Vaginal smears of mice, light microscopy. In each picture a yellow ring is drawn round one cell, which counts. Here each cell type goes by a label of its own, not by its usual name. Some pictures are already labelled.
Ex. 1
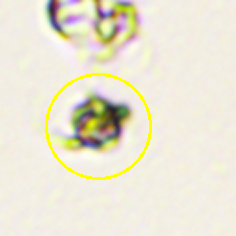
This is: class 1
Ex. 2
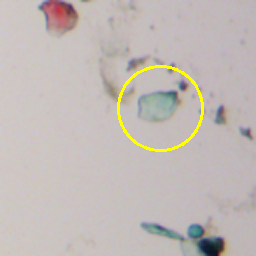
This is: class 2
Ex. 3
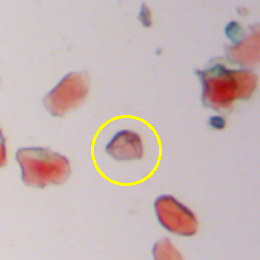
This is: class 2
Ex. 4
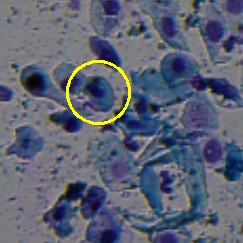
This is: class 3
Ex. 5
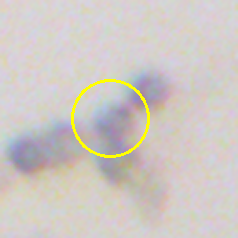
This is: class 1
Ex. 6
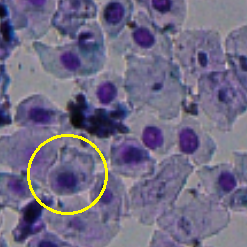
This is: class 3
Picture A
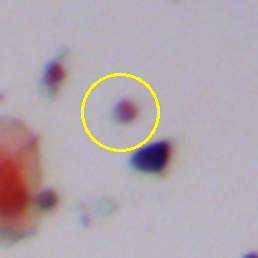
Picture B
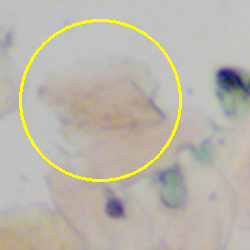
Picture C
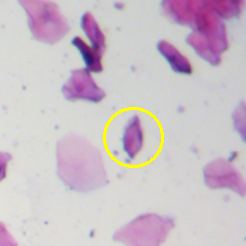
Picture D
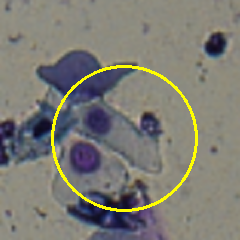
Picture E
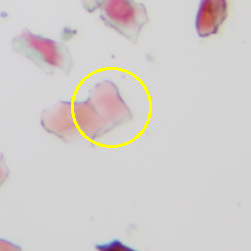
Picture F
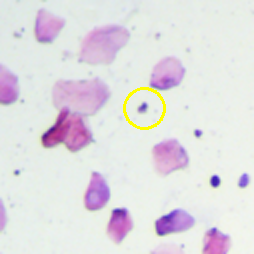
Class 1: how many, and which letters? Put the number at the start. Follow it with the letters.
Count: 2 (A, F)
